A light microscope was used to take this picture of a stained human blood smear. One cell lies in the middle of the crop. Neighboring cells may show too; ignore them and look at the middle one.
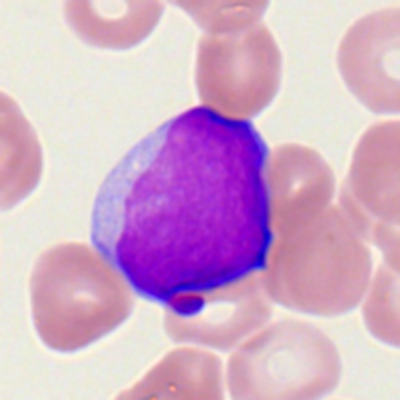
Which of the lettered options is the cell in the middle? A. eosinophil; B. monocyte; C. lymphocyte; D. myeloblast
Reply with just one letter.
D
